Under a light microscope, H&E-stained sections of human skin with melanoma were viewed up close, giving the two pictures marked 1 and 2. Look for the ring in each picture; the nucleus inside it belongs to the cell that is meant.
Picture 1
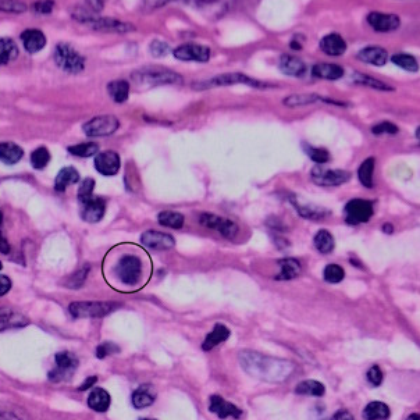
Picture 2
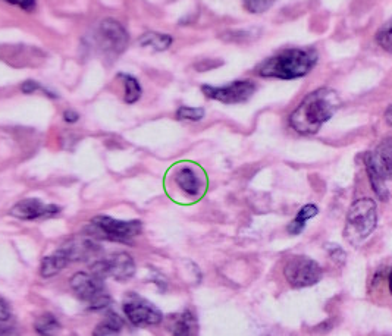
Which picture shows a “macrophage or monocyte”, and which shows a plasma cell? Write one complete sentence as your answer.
In picture 1 the cell is a plasma cell; in picture 2, a “macrophage or monocyte”.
